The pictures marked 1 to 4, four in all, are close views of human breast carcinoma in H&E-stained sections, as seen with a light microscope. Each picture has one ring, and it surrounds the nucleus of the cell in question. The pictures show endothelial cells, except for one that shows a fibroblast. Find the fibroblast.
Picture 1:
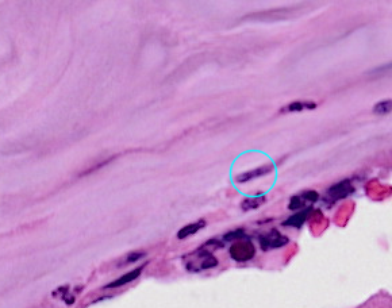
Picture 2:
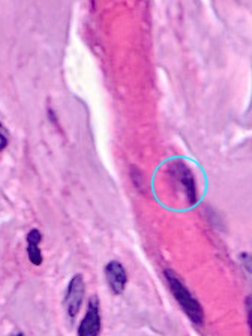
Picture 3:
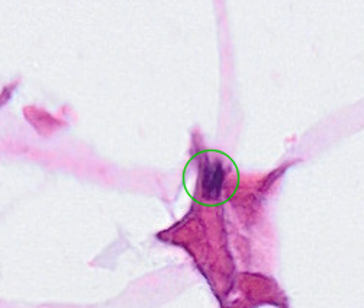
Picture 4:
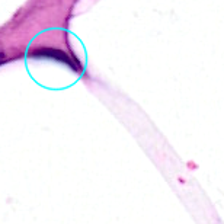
1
